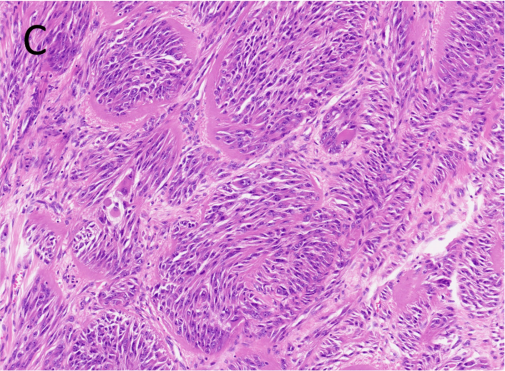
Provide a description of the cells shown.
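This tumor is made of spindle to epithelioid cells arranged in nests and fascicles. The cells gather into rounded and elongated groups of varying size, some streaming in parallel bundles, others forming compact nests. Between the groups run pale pink bands of fibrous tissue that divide the tumor into compartments. The nuclei are oval to elongated, dark purple and crowded, with scant to moderate pink cytoplasm between them. Small slit-like spaces appear within the septa.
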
